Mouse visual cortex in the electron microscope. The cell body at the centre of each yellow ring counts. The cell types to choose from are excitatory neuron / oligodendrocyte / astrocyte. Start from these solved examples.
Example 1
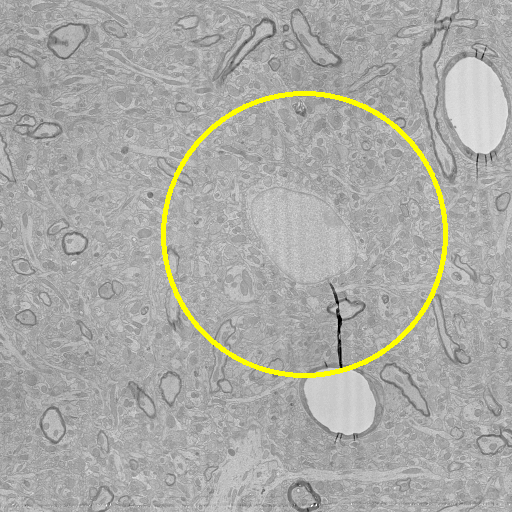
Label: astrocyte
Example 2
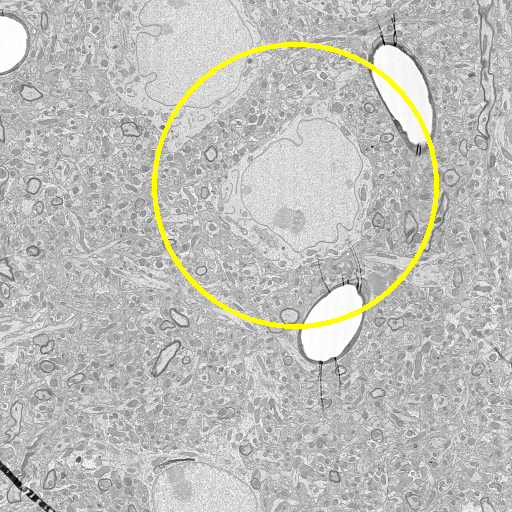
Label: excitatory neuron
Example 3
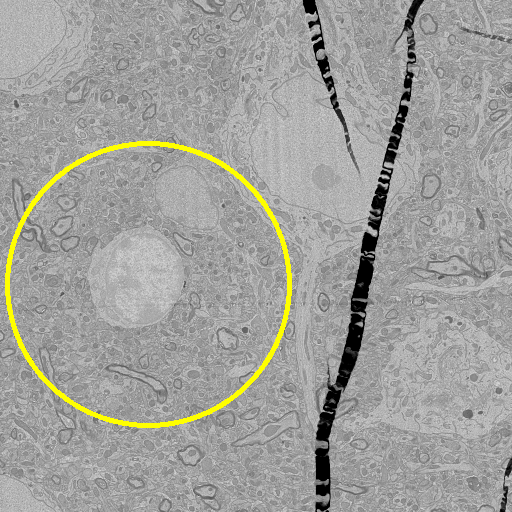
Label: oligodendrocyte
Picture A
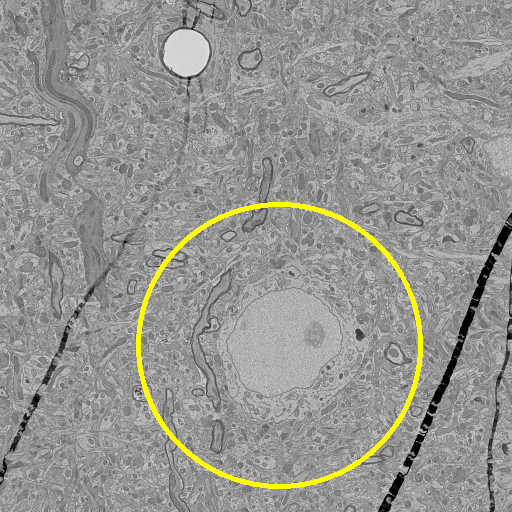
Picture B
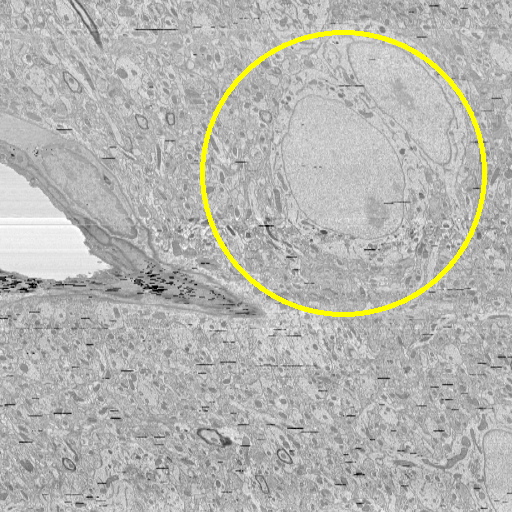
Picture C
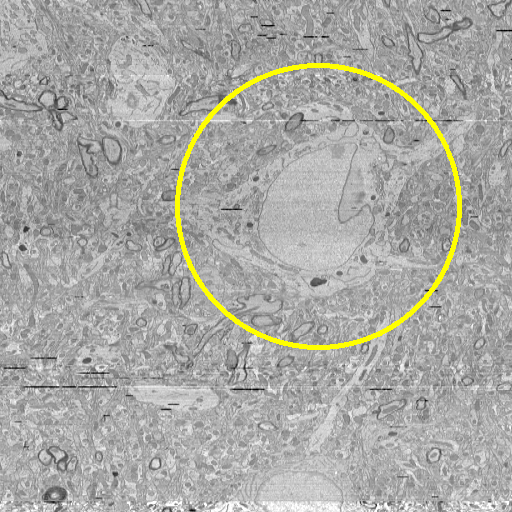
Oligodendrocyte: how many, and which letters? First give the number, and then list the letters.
0, none of them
